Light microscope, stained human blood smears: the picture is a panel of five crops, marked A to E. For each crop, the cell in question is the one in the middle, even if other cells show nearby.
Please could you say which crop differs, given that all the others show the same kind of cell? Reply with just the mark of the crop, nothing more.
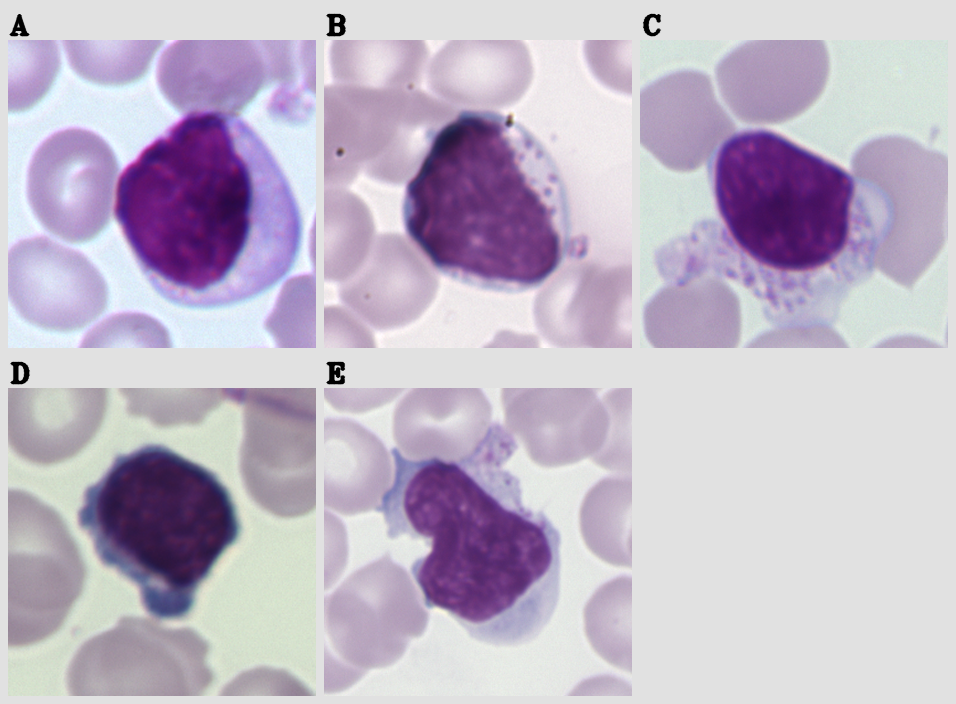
D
